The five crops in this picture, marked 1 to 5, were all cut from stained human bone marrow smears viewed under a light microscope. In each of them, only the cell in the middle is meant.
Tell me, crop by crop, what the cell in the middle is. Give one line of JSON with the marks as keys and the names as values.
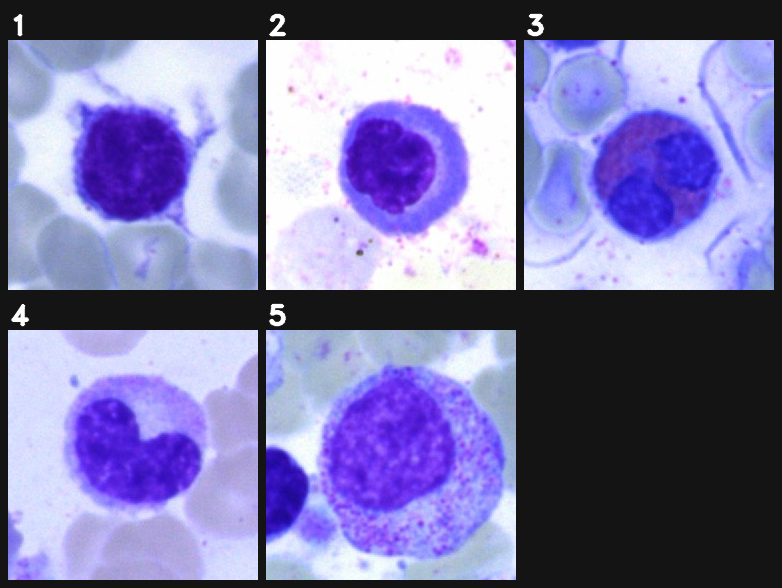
{"1": "hairy cell", "2": "plasma cell", "3": "eosinophil", "4": "metamyelocyte", "5": "myelocyte"}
